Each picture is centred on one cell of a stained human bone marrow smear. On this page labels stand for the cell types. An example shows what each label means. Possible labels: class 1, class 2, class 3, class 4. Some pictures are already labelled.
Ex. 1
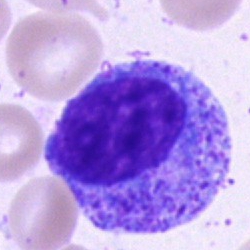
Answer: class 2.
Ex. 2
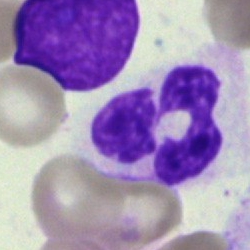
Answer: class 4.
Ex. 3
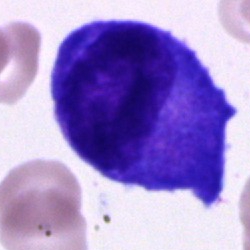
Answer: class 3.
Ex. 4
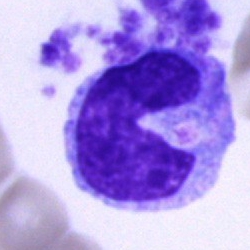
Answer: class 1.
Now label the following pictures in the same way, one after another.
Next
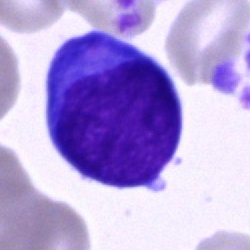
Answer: class 3.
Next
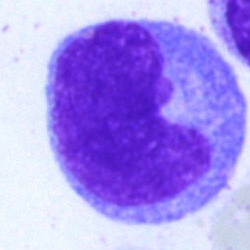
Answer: class 1.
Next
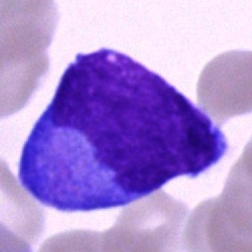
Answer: class 3.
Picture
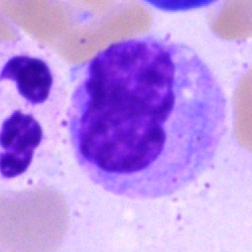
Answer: class 1.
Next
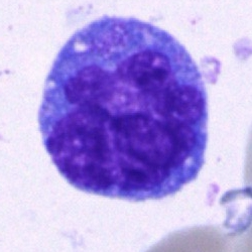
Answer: class 1.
